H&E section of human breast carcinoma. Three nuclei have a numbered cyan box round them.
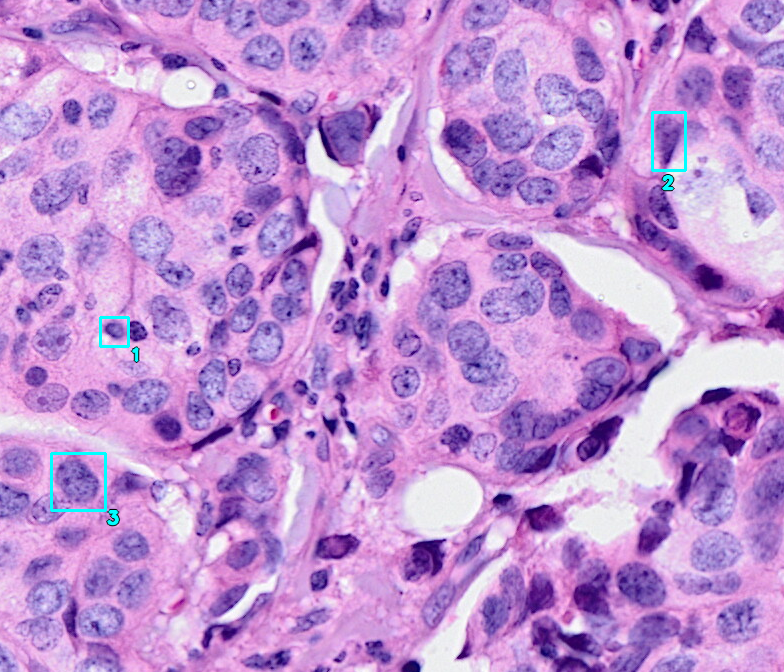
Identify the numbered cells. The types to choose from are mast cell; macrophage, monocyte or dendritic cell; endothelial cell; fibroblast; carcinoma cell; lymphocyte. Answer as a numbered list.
1. lymphocyte
2. carcinoma cell
3. carcinoma cell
